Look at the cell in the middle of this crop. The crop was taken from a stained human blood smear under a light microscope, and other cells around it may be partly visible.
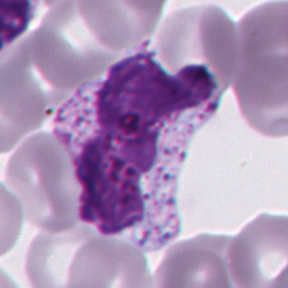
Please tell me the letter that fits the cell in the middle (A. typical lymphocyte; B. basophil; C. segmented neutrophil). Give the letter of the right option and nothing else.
B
